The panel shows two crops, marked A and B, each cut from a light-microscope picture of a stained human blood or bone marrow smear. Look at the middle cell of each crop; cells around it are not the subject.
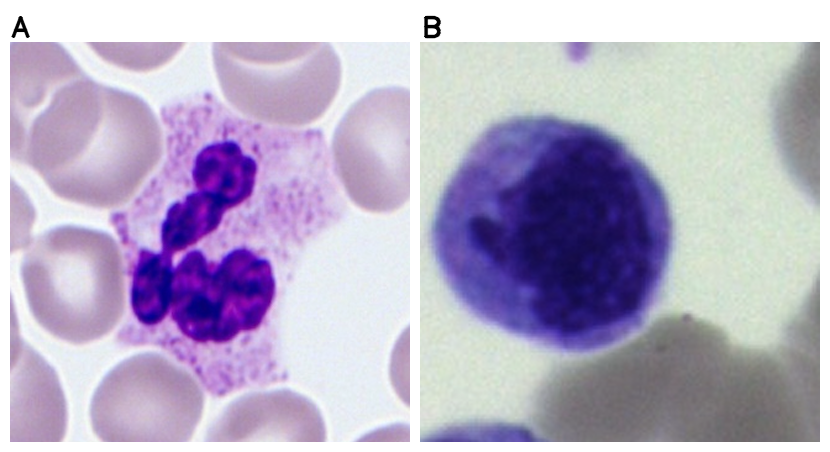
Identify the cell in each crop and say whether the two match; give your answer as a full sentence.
No, the middle of crop A holds a segmented neutrophil, and the middle of crop B holds a monocyte.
